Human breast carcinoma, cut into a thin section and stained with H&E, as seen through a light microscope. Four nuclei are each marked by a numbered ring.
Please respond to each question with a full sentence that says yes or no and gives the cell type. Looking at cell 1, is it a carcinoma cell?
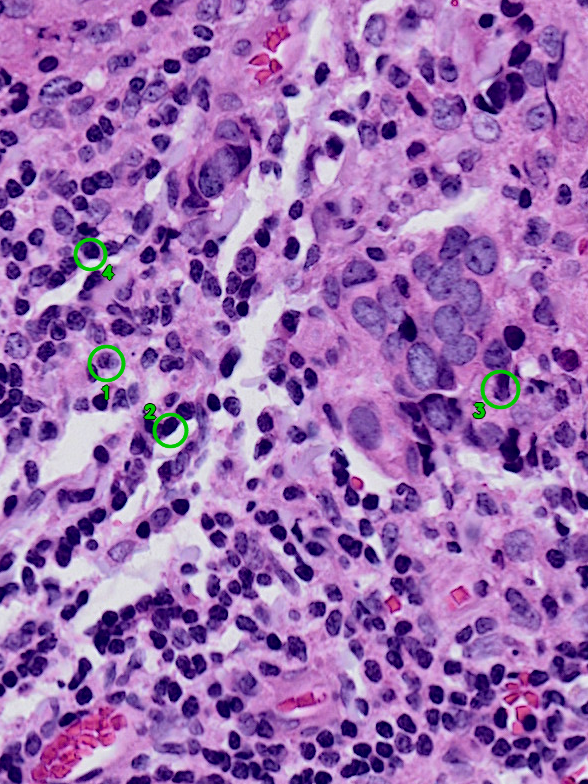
No, cell 1 is a lymphocyte; it is not a carcinoma cell.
